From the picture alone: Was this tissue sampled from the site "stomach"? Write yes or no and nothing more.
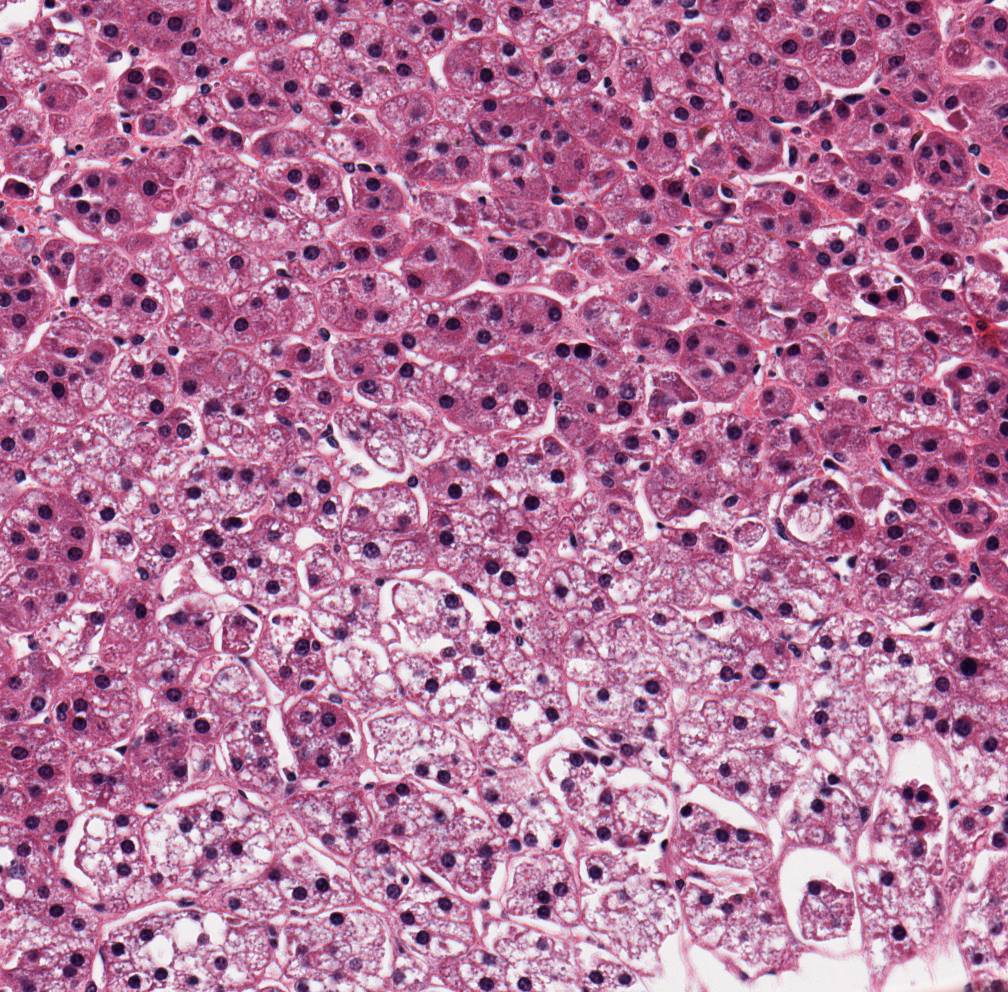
no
